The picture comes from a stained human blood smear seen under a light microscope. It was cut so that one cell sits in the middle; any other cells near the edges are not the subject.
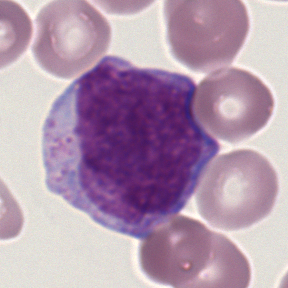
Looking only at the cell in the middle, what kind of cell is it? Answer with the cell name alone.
atypical promyelocyte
